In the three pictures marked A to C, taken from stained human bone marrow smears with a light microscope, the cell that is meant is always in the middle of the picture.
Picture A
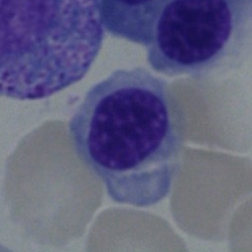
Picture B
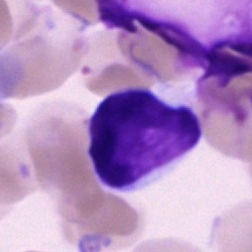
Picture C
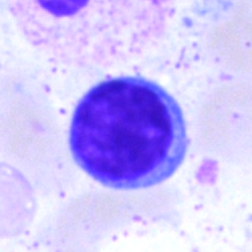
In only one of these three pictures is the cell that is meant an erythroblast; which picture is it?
A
